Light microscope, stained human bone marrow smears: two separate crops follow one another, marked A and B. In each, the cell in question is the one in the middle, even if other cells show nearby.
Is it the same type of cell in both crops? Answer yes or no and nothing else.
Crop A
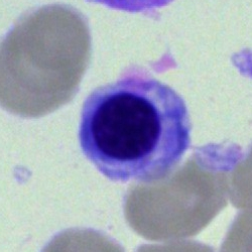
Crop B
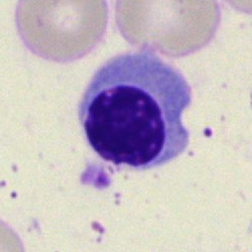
yes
